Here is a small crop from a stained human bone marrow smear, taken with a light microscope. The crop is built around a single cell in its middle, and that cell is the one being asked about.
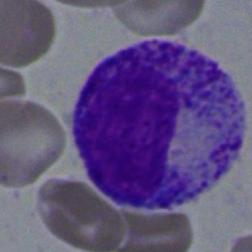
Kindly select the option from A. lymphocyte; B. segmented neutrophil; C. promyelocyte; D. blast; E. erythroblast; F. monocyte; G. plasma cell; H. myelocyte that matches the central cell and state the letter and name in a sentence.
The cell in the middle is a myelocyte, and that makes option H correct.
